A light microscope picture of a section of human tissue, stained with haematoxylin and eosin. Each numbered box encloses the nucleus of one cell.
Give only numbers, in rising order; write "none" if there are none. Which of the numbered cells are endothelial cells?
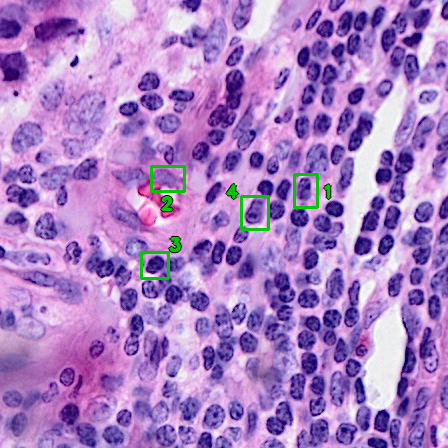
2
